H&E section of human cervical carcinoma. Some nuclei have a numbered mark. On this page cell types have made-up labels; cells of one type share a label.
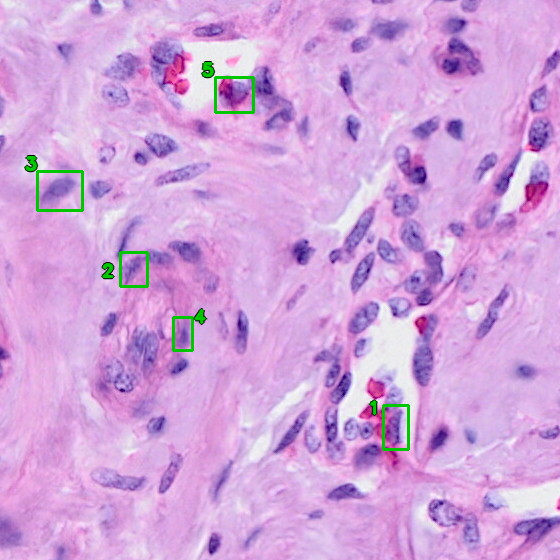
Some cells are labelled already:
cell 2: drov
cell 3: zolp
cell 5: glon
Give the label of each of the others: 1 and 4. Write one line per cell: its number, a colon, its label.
1: glon
4: drov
